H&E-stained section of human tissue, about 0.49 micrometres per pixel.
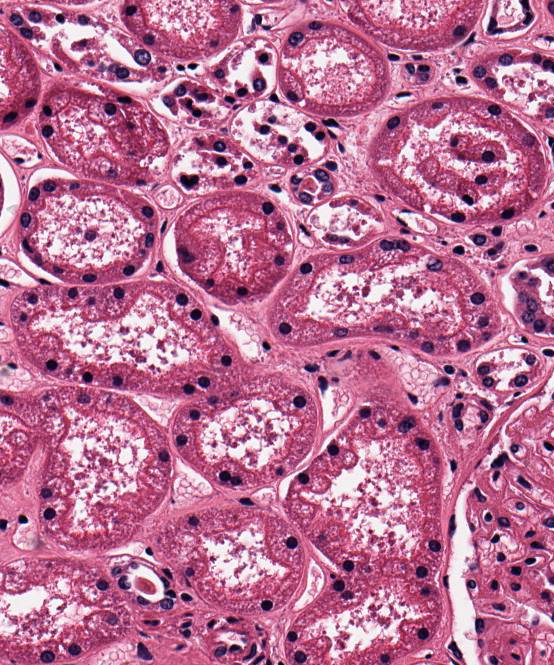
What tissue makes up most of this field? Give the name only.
cortical labyrinth of the kidney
